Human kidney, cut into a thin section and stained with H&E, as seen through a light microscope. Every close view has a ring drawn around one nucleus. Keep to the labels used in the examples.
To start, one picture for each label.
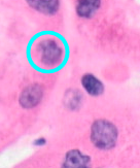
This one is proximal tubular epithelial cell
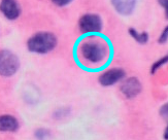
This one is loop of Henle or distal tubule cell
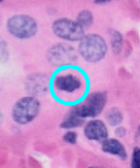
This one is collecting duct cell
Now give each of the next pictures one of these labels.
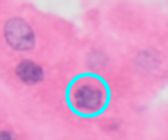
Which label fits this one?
proximal tubular epithelial cell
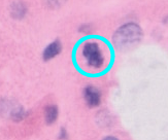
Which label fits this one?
loop of Henle or distal tubule cell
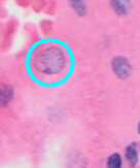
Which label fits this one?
proximal tubular epithelial cell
